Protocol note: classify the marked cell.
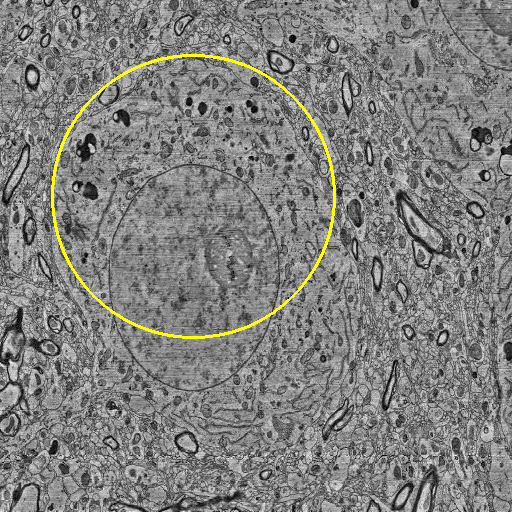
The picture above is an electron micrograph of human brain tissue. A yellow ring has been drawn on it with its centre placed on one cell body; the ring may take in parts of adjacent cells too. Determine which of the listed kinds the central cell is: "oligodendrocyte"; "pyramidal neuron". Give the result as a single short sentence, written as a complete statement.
The central cell is a pyramidal neuron.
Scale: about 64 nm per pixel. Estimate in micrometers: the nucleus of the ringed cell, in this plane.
Approximately 15 micrometres long and 11 micrometres wide, in this plane.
